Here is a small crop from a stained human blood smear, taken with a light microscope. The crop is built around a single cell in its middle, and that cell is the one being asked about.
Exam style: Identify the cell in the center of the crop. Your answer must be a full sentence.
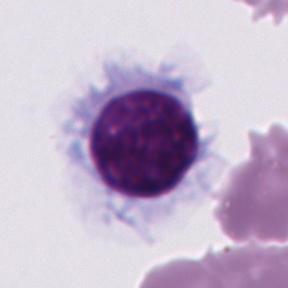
As for the cell in the middle, it is a hairy cell.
